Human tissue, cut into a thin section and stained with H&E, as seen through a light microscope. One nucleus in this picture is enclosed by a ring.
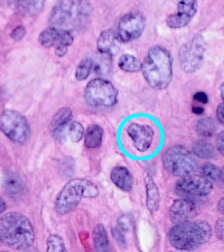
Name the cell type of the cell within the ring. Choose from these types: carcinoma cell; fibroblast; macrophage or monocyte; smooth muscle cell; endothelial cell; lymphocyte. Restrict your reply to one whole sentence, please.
Just put down that the cell within the ring is a macrophage or monocyte.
